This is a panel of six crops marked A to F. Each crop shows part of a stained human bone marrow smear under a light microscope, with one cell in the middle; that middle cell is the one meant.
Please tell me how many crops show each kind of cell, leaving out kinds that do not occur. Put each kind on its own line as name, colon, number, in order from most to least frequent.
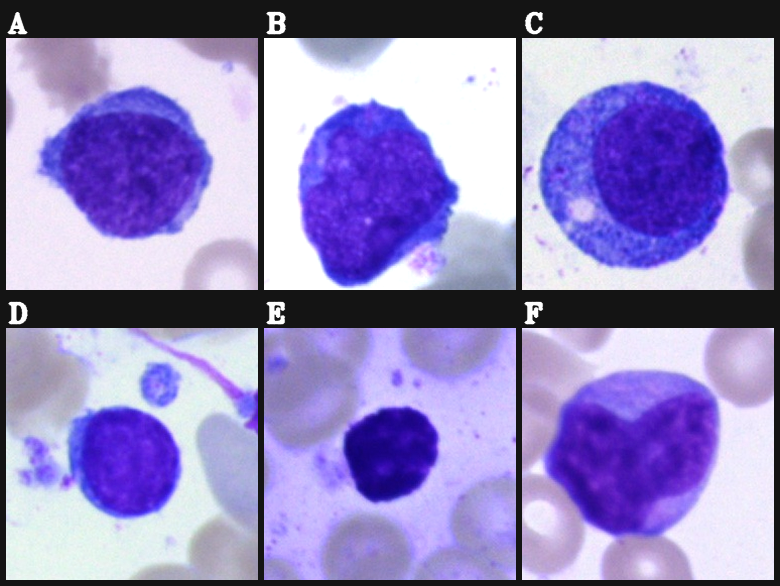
blast: 3
lymphocyte: 2
promyelocyte: 1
